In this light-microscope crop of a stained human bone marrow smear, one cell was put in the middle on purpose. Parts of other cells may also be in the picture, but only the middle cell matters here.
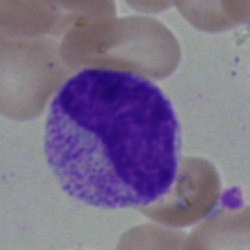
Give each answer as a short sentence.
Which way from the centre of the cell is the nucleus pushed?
Toward the upper right of the cell lies its nucleus.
